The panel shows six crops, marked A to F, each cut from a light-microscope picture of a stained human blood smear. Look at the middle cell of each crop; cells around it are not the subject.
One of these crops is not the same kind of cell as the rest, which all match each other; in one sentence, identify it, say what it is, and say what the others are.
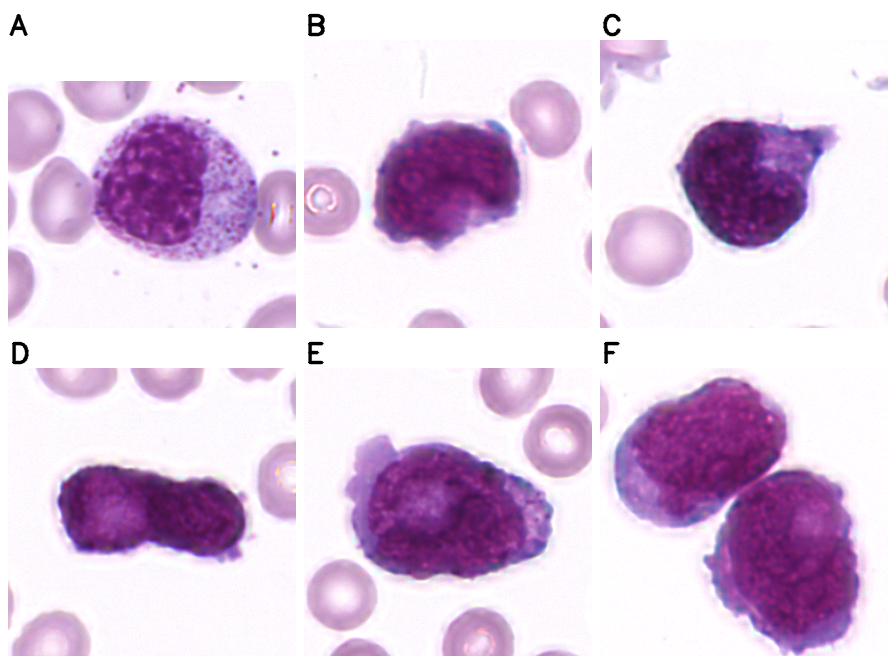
All of the other crops show atypical promyelocytes, while crop A shows a myelocyte instead.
